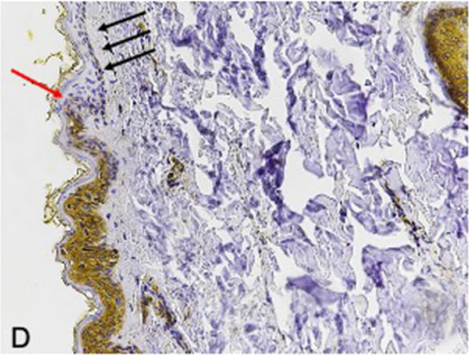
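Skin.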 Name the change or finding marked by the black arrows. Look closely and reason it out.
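The epidermis at the arrows is thin compared with the brown-stained epidermis below. The thin stretch of epidermis lies along the left edge of the tissue.
Conclusion: epidermal flattening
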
